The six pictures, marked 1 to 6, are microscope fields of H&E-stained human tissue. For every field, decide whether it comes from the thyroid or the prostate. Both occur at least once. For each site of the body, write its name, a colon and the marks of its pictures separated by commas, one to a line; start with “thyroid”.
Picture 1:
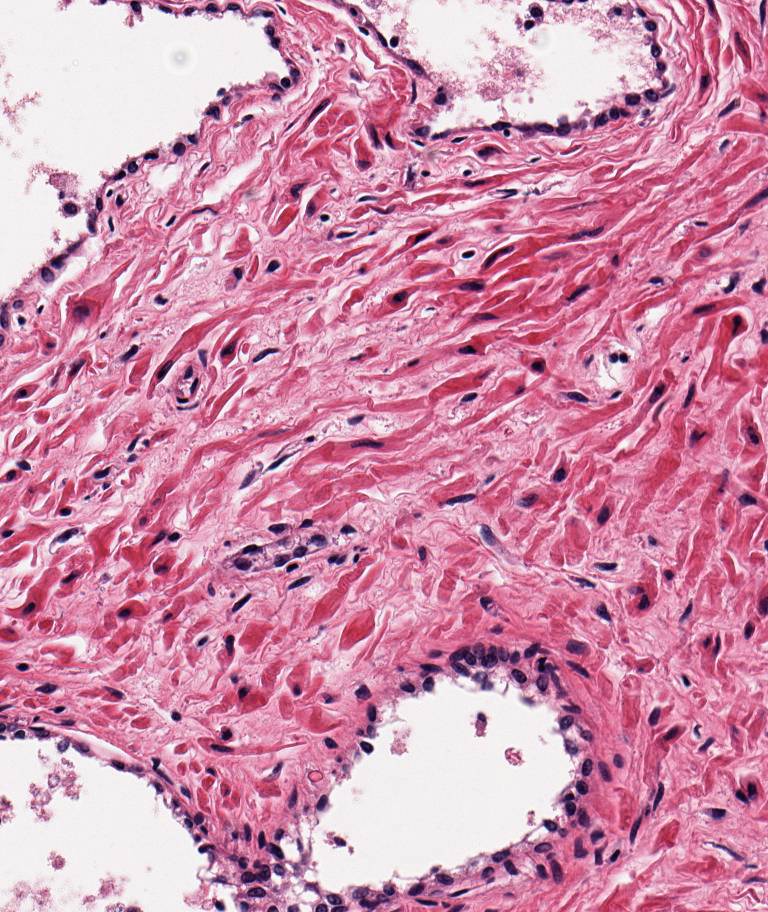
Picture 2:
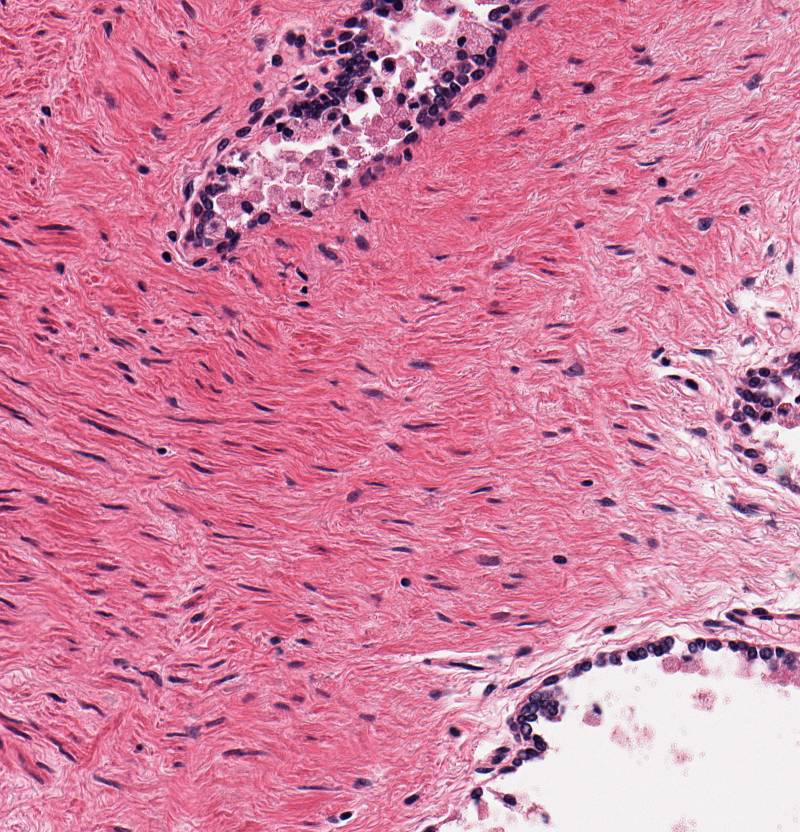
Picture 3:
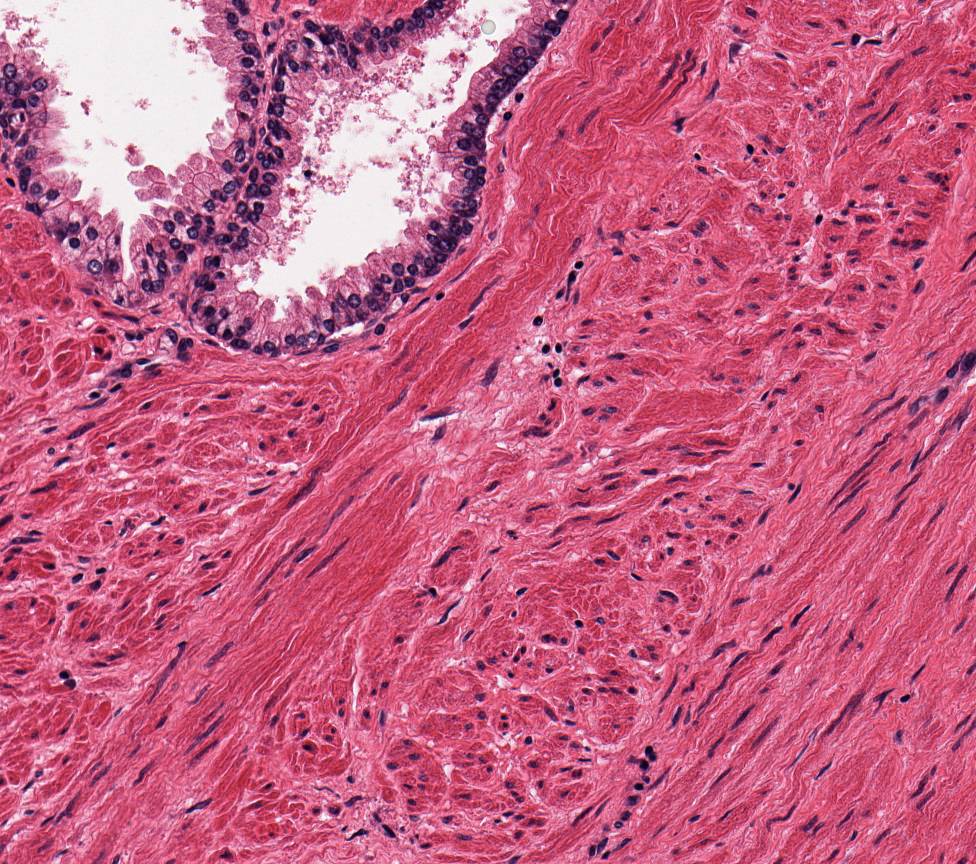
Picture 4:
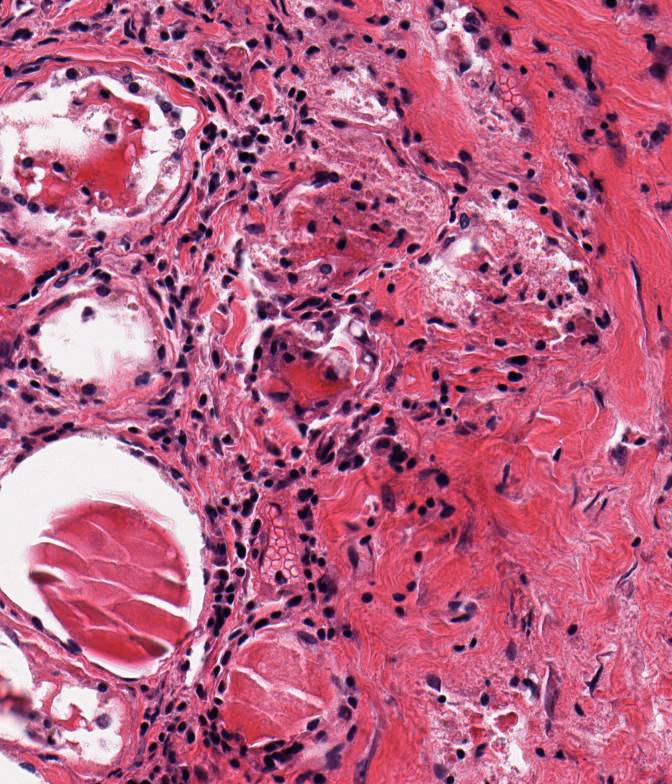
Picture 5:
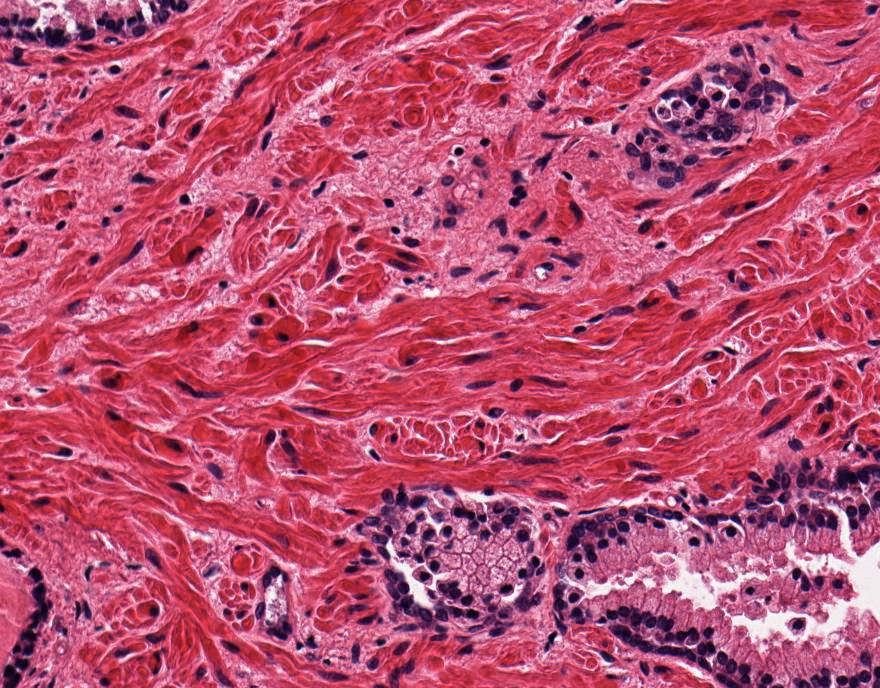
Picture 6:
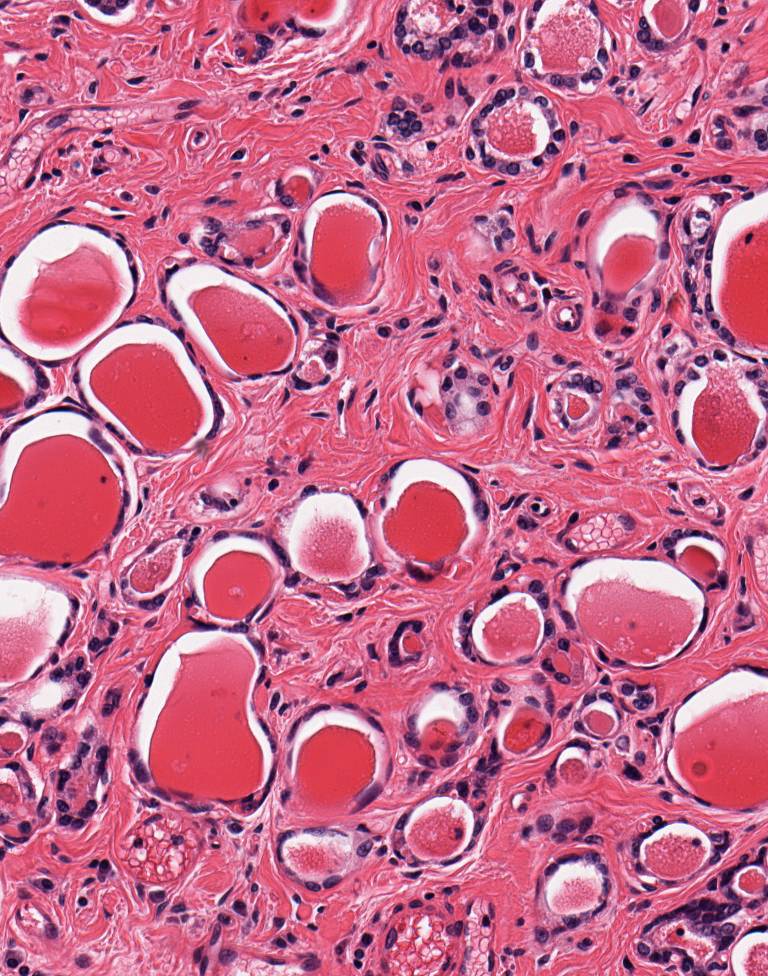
thyroid: 4, 6
prostate: 1, 2, 3, 5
